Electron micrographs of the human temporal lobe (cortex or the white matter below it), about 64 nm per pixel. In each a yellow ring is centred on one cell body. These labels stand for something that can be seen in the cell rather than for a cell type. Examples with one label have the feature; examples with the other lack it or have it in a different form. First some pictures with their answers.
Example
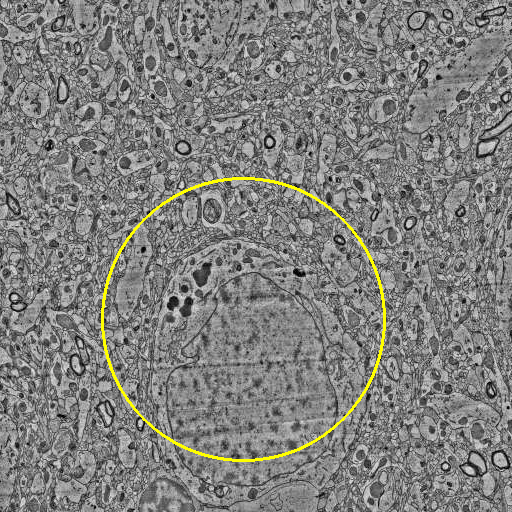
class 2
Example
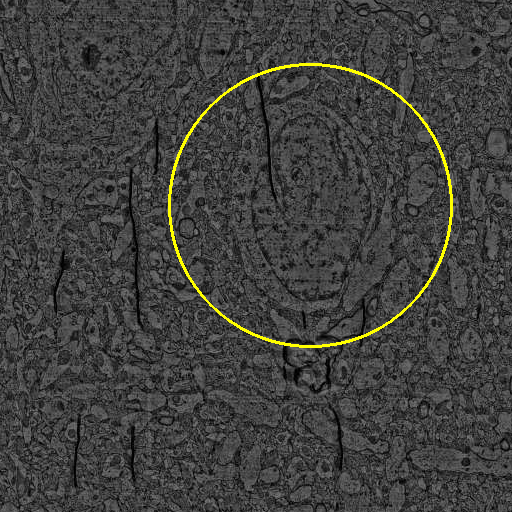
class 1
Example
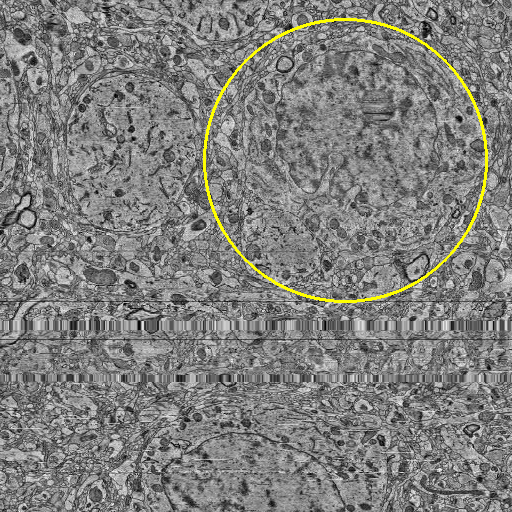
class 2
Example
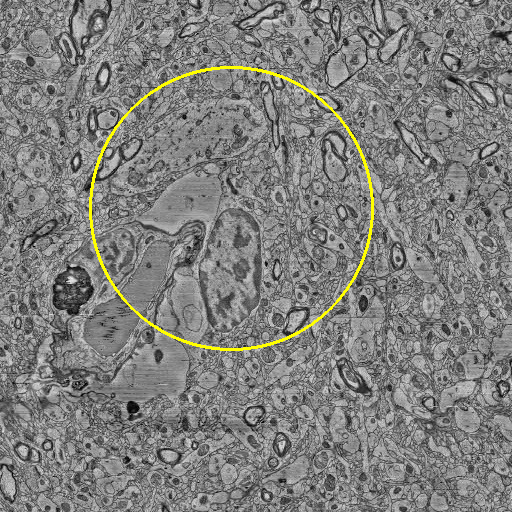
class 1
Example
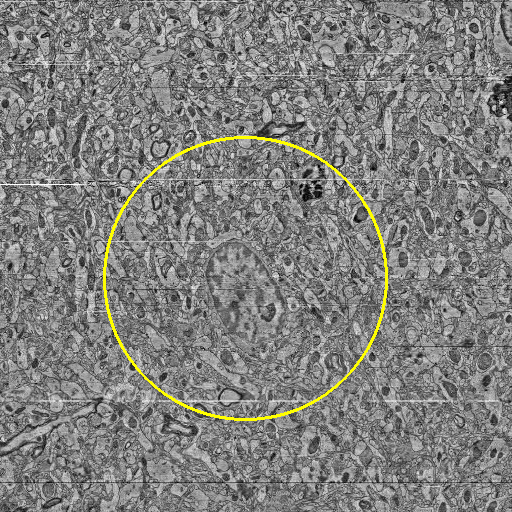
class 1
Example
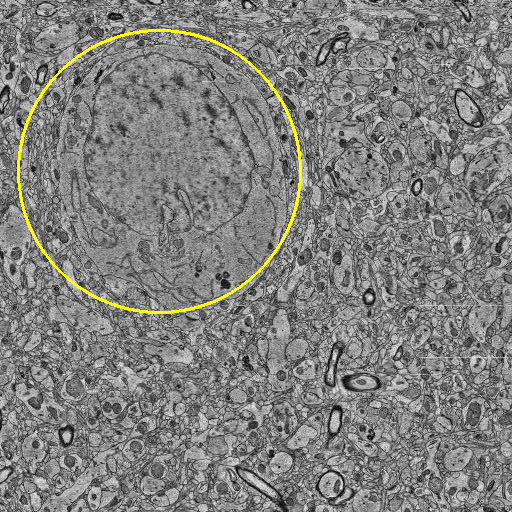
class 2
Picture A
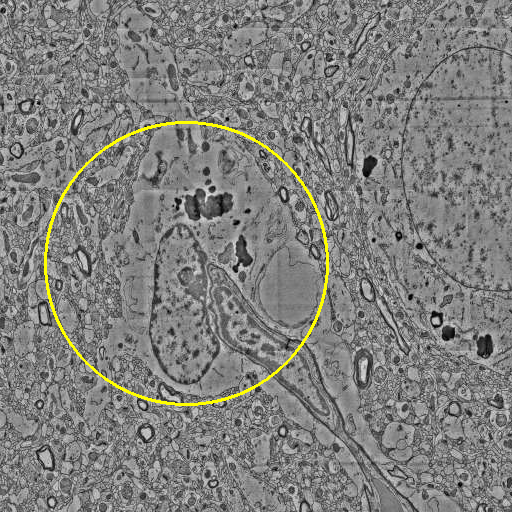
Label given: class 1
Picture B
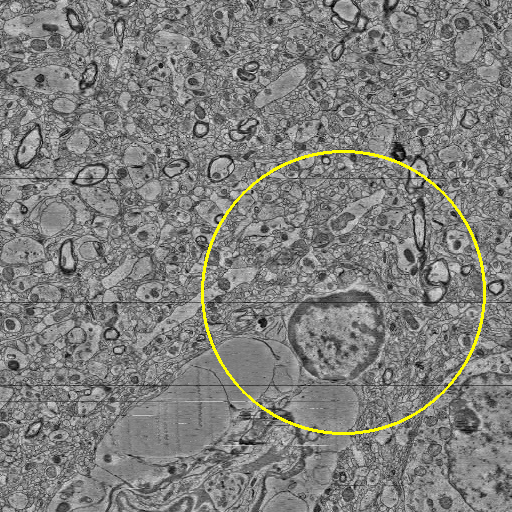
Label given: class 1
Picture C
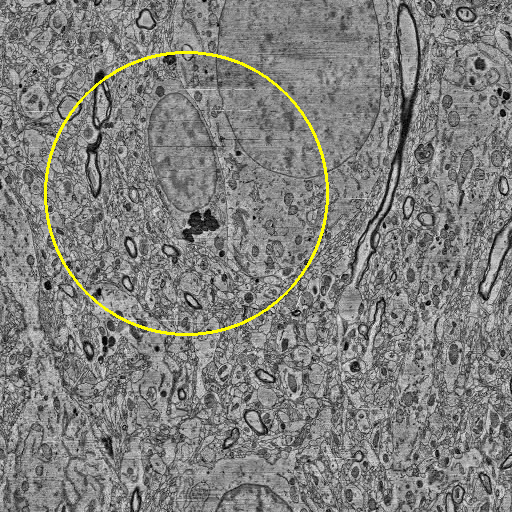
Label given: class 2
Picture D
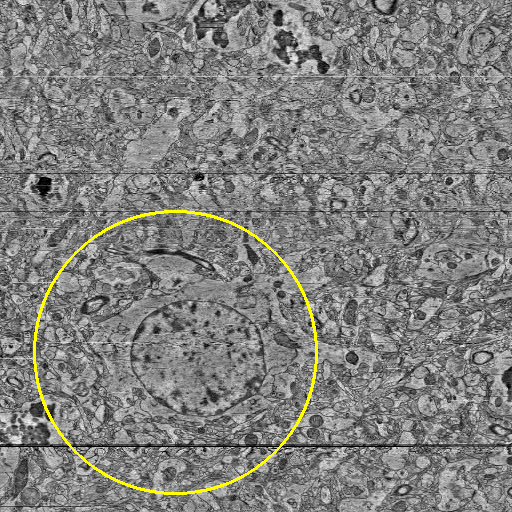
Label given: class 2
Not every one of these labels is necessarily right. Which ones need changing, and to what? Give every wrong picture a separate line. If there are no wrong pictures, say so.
B is labelled class 1; correct label: class 2
C is labelled class 2; correct label: class 1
